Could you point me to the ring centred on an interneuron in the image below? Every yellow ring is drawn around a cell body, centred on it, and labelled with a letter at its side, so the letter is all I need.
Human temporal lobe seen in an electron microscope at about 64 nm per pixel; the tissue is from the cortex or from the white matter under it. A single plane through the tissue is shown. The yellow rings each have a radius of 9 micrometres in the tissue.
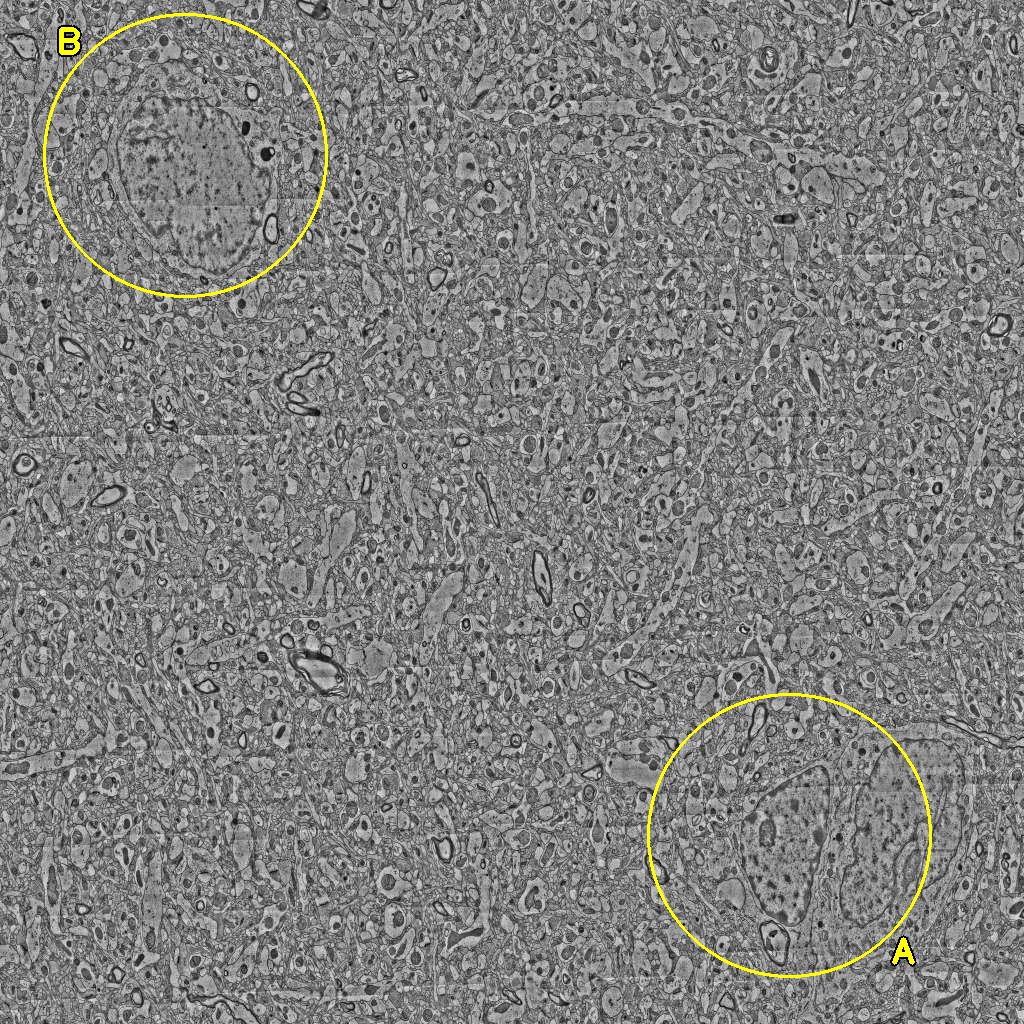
B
